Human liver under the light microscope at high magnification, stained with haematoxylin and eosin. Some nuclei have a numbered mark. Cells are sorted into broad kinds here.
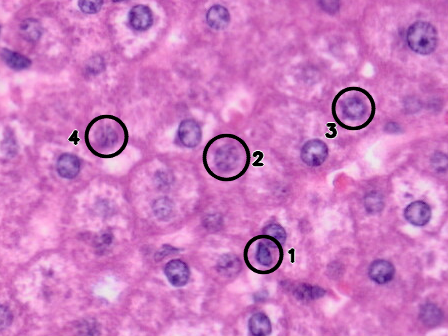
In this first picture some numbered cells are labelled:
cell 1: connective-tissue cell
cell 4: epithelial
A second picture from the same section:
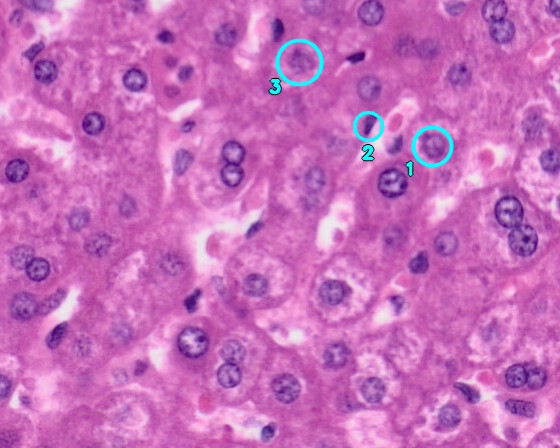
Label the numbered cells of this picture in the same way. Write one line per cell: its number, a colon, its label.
1: epithelial
2: connective-tissue cell
3: epithelial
